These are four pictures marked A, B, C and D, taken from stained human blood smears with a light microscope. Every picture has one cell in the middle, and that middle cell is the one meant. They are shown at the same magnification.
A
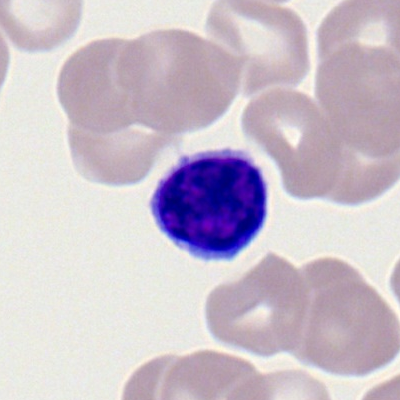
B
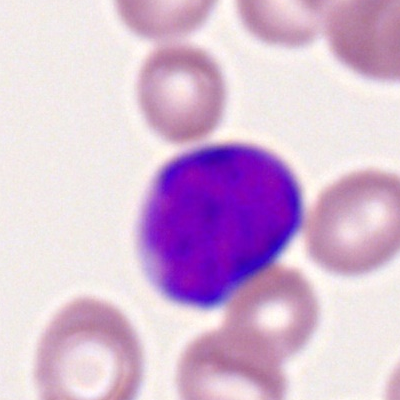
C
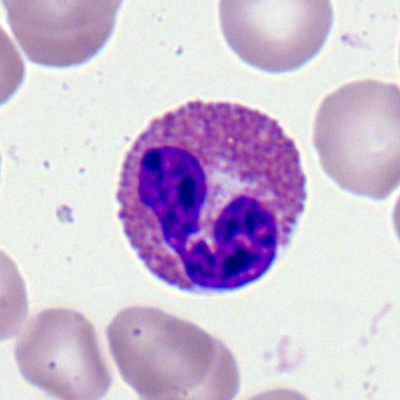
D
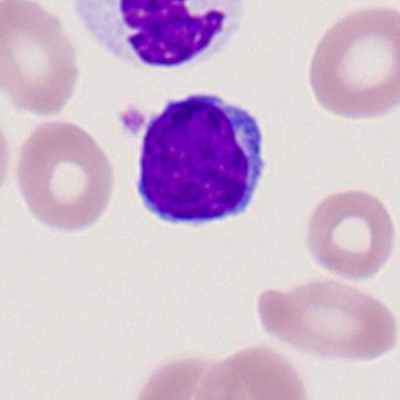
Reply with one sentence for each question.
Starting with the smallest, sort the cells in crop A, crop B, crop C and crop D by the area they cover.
Smallest first: A, D, B, C.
